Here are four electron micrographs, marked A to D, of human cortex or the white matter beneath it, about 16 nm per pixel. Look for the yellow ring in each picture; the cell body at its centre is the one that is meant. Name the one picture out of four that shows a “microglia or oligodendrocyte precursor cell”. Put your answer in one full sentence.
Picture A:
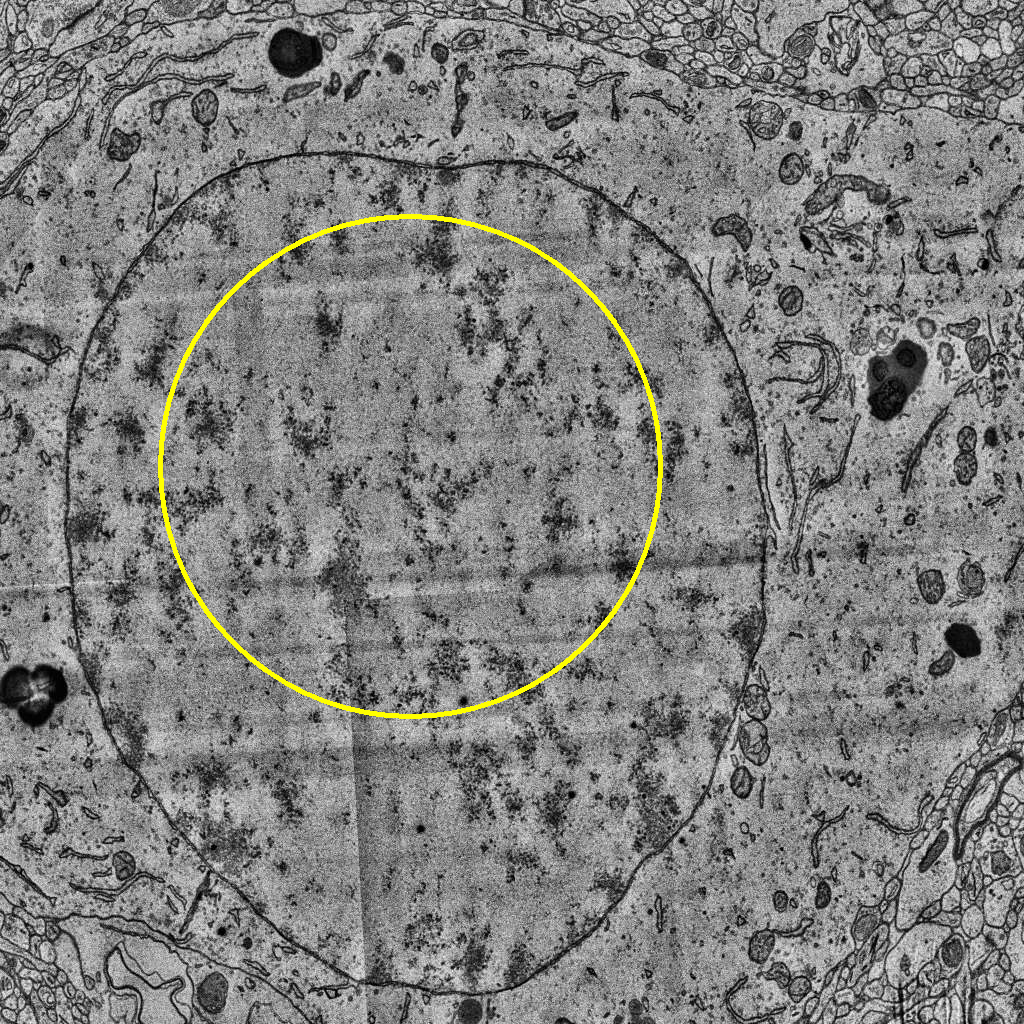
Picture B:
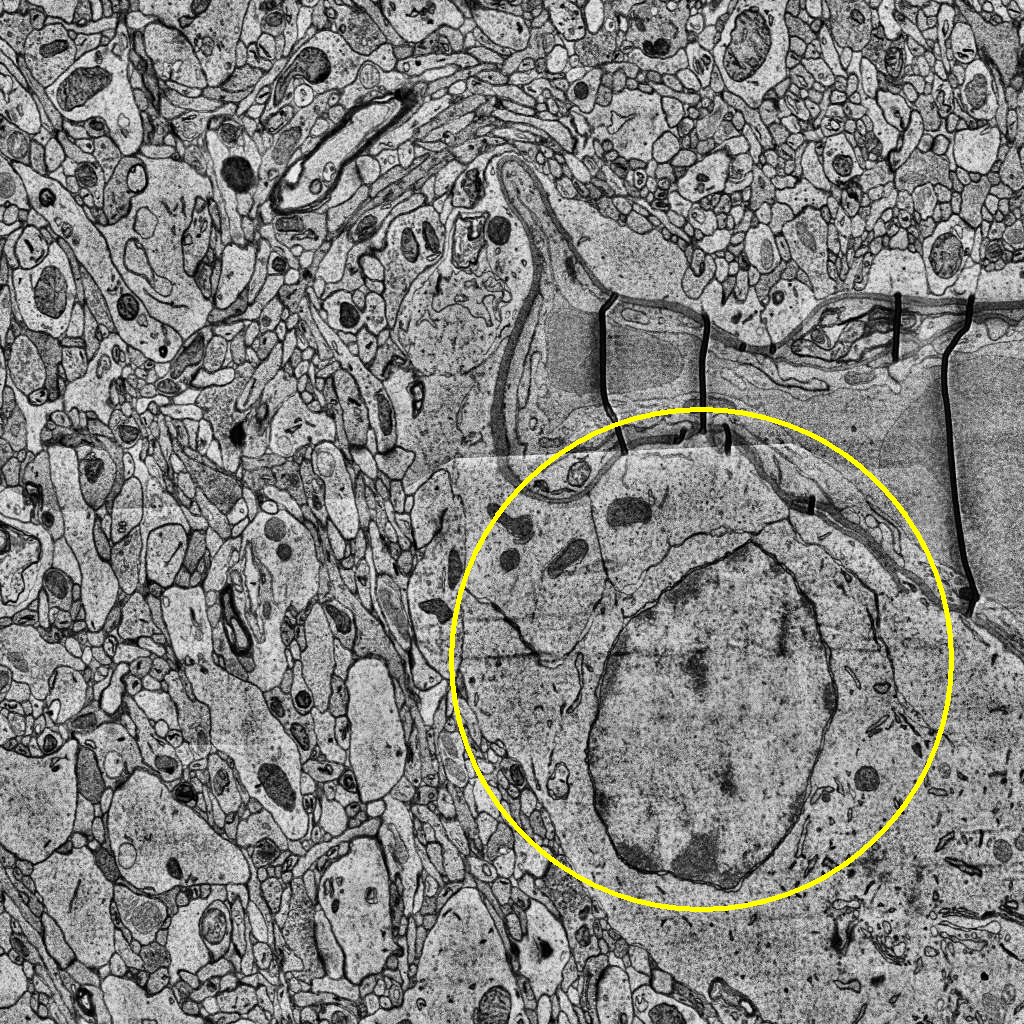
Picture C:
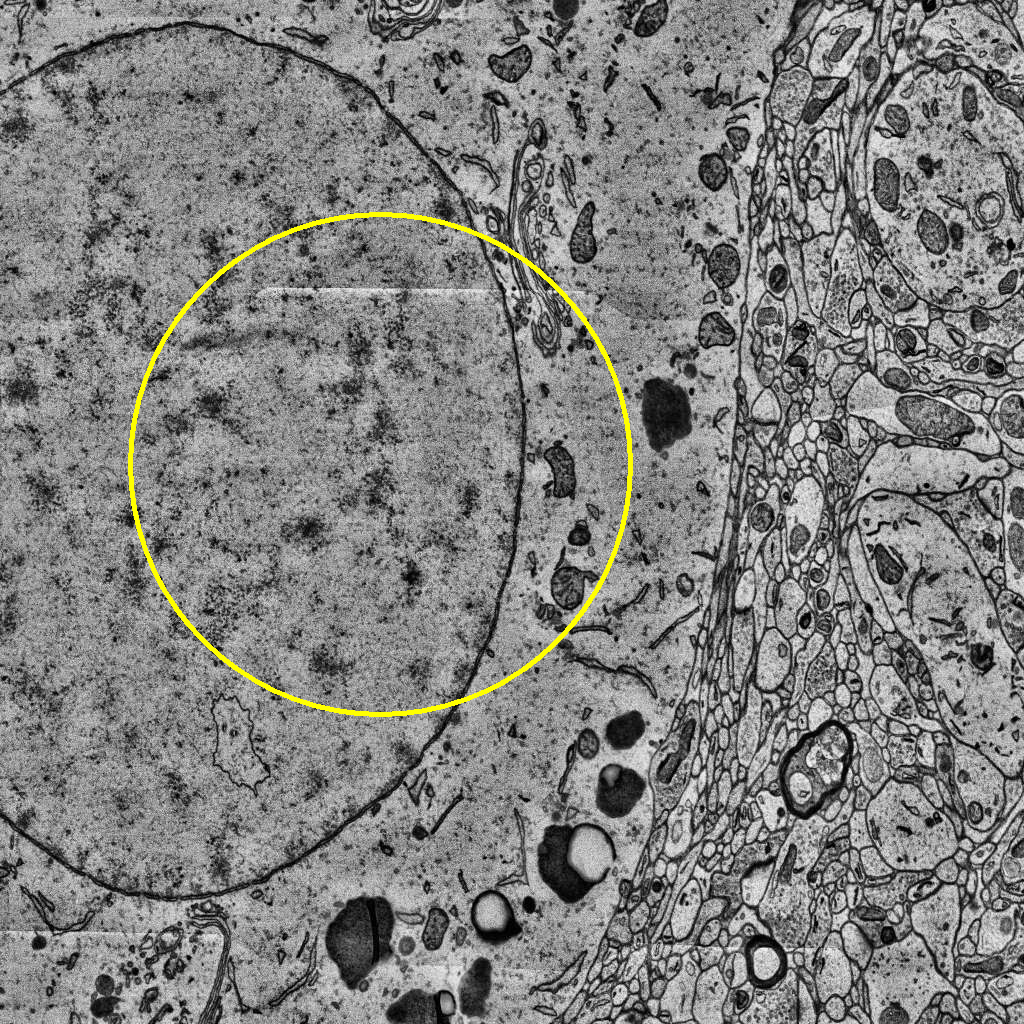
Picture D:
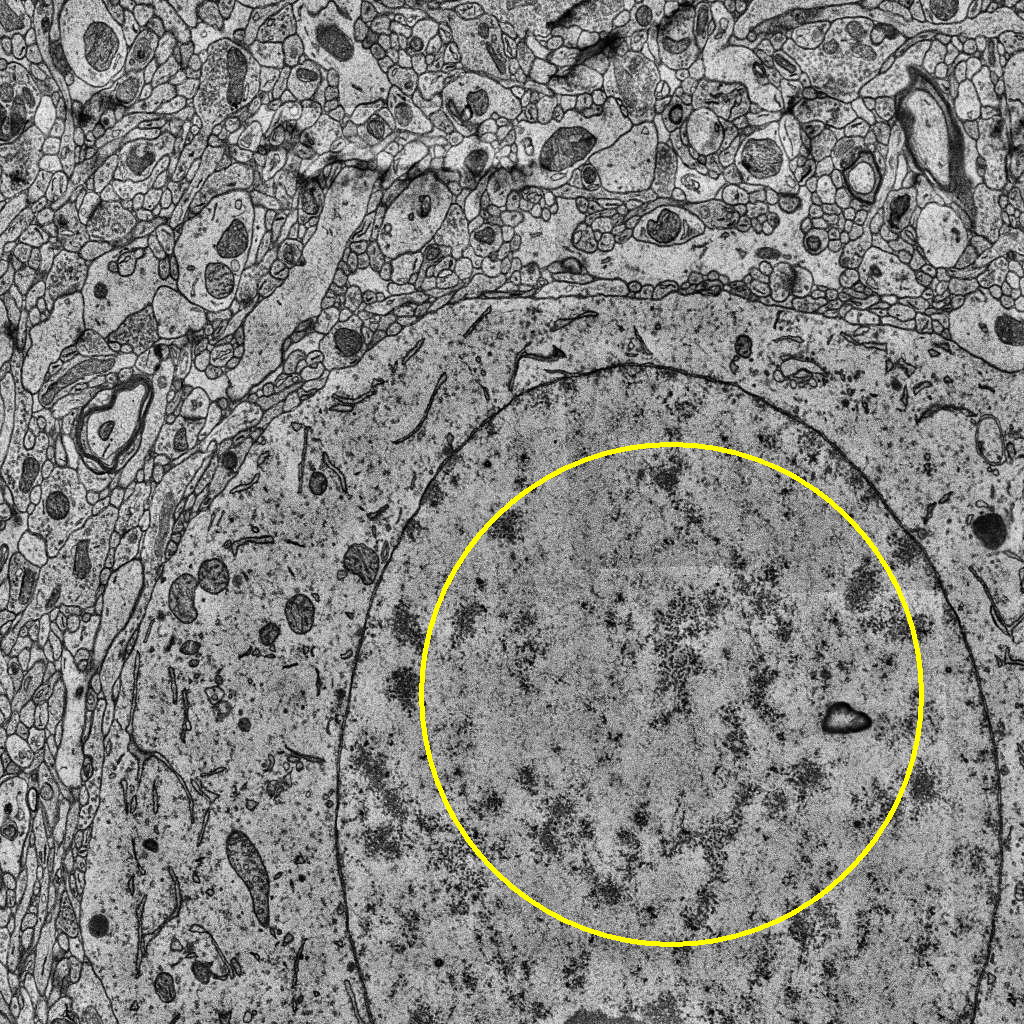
The “microglia or oligodendrocyte precursor cell” is the one in picture B.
